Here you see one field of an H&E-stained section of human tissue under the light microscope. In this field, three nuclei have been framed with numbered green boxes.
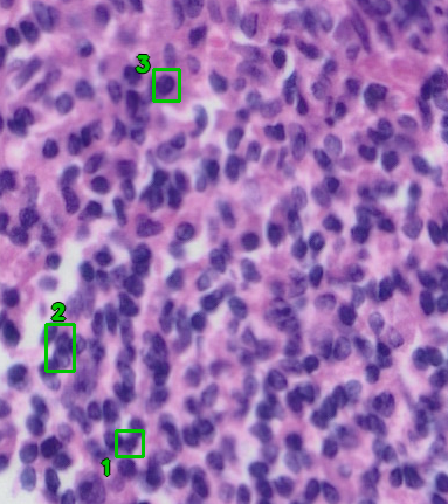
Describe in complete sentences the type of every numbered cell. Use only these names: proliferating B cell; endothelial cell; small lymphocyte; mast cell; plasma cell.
Cell 1 is a small lymphocyte, cell 2 is a small lymphocyte and cell 3 is a plasma cell.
